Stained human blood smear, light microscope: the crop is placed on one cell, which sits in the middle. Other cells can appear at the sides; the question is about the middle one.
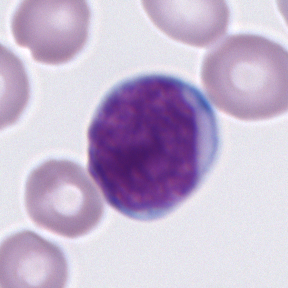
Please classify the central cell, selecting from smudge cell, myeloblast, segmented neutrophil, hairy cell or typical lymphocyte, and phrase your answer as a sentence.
The cell found in the middle of this crop is a myeloblast.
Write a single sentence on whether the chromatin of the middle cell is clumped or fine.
If you check the nucleus, you will find the chromatin coarsely clumped.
